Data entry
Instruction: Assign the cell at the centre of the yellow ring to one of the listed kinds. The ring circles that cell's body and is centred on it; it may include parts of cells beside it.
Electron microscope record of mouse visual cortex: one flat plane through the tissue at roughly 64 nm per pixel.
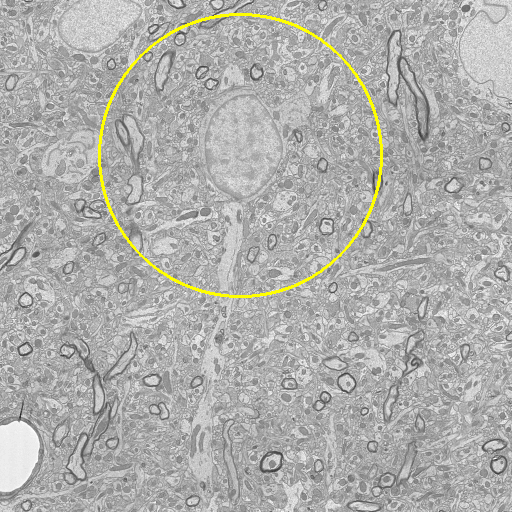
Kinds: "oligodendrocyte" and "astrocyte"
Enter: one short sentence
The centre of the ring falls on an oligodendrocyte.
